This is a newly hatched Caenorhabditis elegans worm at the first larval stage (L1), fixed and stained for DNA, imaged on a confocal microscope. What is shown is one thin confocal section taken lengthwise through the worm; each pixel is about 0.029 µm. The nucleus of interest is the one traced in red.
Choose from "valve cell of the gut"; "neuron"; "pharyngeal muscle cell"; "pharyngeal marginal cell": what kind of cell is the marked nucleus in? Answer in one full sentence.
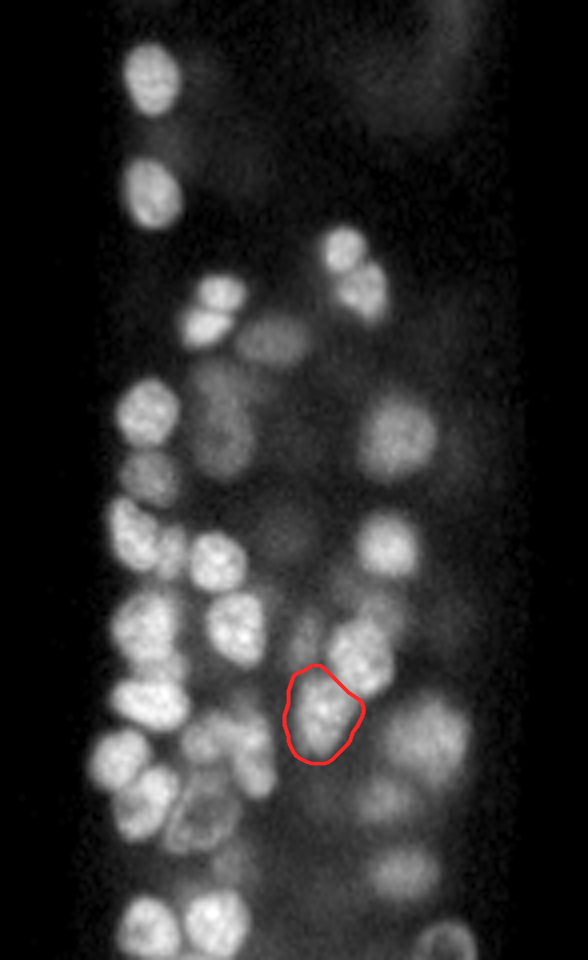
The nucleus comes from a pharyngeal marginal cell.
